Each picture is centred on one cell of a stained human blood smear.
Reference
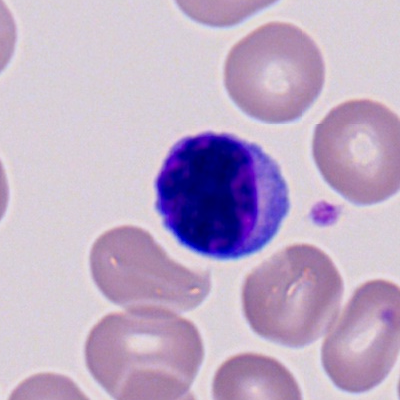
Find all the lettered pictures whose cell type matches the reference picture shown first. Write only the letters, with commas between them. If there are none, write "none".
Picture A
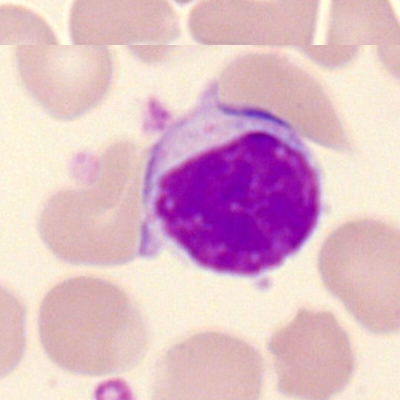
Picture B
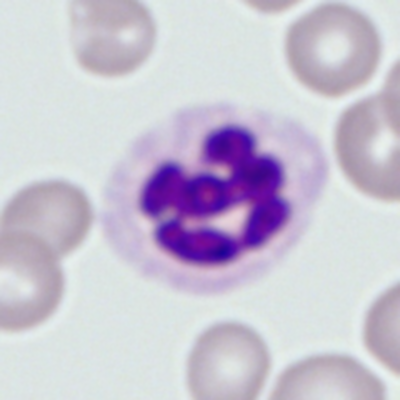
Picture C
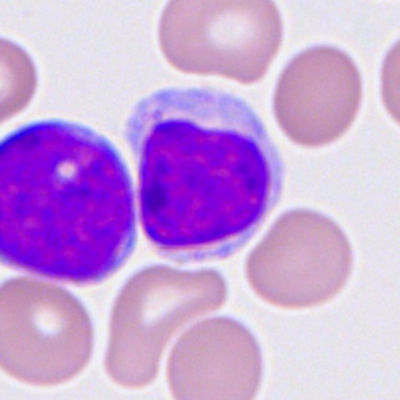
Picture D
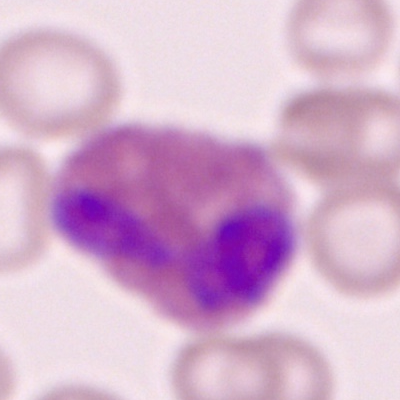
A, C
